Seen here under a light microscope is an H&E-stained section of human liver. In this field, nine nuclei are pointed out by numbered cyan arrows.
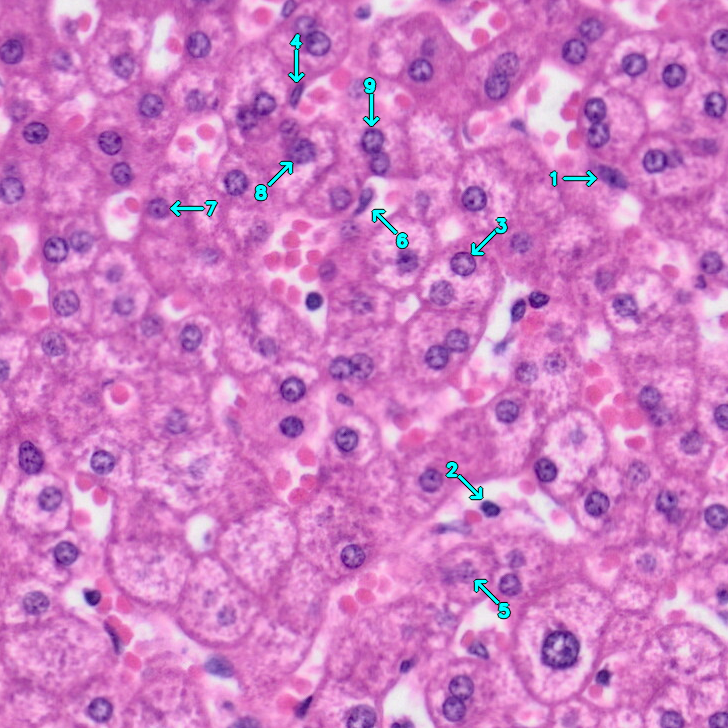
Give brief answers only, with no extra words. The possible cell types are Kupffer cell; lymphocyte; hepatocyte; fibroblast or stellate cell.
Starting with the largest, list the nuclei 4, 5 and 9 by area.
9, 5, 4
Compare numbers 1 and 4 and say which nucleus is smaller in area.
4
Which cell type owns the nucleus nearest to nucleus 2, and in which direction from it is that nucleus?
a Kupffer cell, below and to the left of nucleus 2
